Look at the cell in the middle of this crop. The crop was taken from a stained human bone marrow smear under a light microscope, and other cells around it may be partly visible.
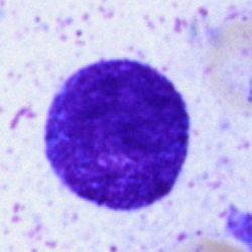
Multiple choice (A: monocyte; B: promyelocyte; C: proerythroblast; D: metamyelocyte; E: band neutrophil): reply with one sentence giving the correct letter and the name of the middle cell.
The cell at the centre is a promyelocyte, and option B accordingly is correct.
